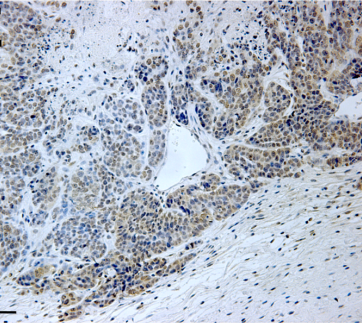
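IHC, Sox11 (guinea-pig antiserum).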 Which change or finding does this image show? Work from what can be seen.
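Crowded epithelial cells form irregular nests and sheets. Spindle-shaped stromal cells lie between the nests. On this evidence: tumors.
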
